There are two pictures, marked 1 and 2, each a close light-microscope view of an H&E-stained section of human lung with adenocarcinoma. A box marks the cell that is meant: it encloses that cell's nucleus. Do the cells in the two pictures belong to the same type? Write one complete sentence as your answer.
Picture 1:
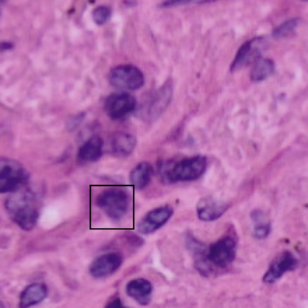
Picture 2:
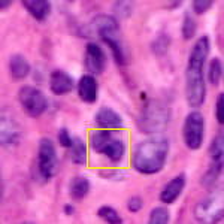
No, the types are not the same, since picture 1 shows a plasma cell and picture 2 a lymphocyte.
